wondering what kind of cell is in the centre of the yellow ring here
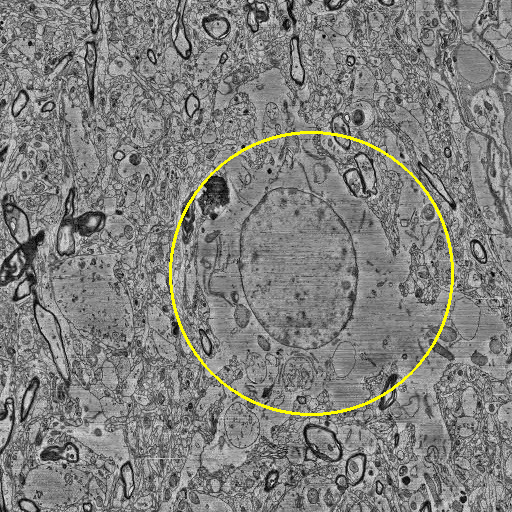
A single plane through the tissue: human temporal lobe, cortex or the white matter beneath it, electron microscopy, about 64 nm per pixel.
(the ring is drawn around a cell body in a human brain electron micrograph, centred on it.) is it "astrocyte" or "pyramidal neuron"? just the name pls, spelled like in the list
astrocyte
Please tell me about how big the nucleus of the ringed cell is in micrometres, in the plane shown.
The nucleus is approximately 11 micrometers long by 8 micrometers wide in this plane.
